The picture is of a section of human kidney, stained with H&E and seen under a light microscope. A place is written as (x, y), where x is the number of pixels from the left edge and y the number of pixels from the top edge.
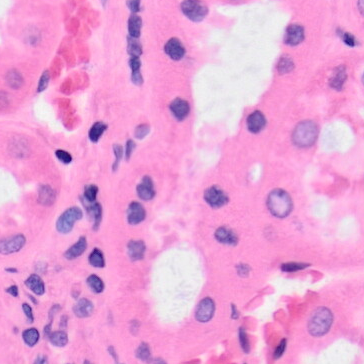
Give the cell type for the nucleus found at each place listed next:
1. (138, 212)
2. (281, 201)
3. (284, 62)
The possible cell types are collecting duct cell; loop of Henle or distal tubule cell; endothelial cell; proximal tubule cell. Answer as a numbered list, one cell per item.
1. loop of Henle or distal tubule cell
2. proximal tubule cell
3. loop of Henle or distal tubule cell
